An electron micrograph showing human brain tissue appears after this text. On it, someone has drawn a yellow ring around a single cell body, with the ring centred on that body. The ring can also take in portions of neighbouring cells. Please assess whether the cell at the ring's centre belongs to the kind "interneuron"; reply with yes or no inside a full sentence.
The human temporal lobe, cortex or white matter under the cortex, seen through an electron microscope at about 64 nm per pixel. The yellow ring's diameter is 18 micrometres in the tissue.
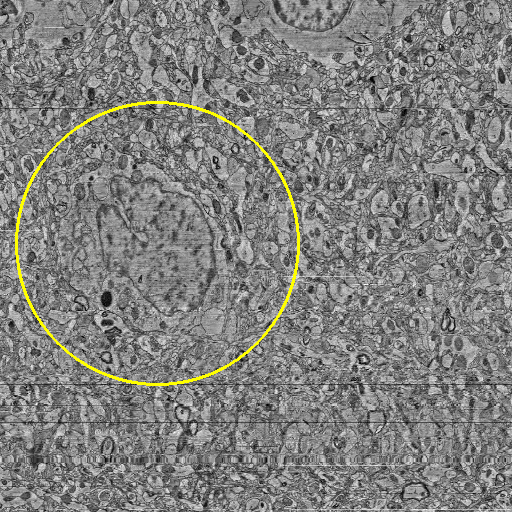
Yes, in this micrograph the cell at the centre of the ring is of that kind.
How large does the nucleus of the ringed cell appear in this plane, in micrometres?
About 10 by 7 micrometres in this plane.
